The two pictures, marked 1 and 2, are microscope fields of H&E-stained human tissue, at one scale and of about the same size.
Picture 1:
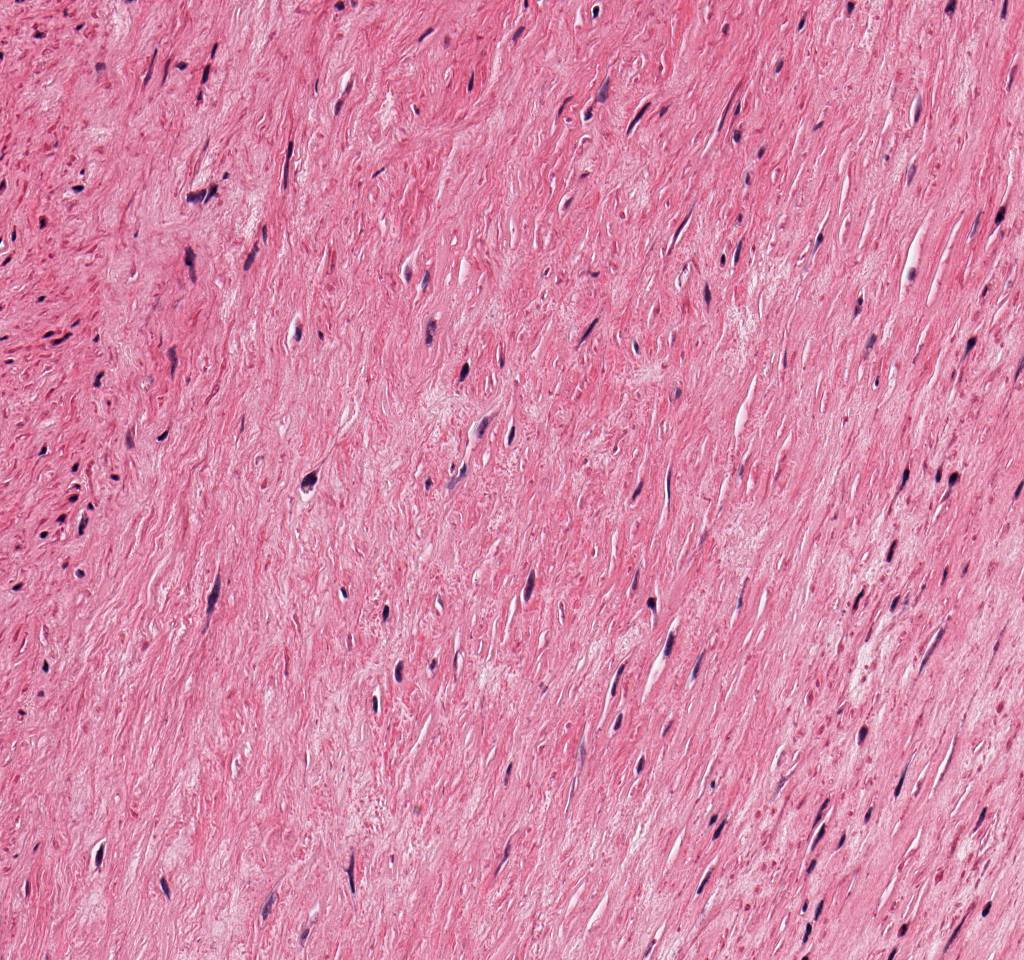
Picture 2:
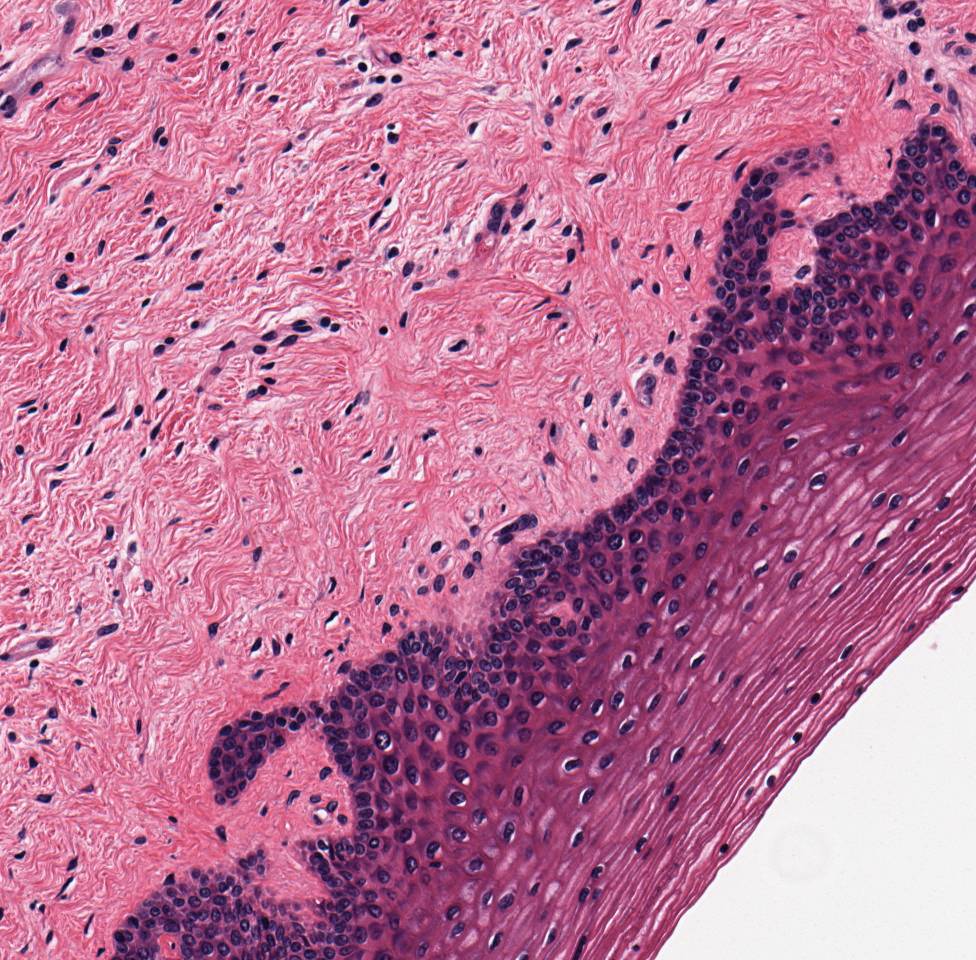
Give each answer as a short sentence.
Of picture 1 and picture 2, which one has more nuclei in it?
The larger number of nuclei is in picture 2.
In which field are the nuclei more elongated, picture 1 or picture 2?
The nuclei are more elongated in picture 1.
